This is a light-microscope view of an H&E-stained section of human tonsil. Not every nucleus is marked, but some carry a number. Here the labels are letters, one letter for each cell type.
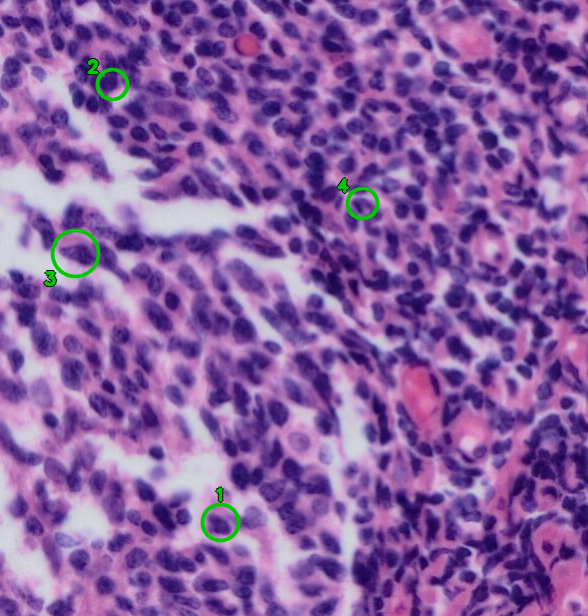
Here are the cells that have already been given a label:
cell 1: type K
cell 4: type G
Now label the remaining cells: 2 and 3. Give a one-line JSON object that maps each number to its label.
{"2": "type G", "3": "type K"}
